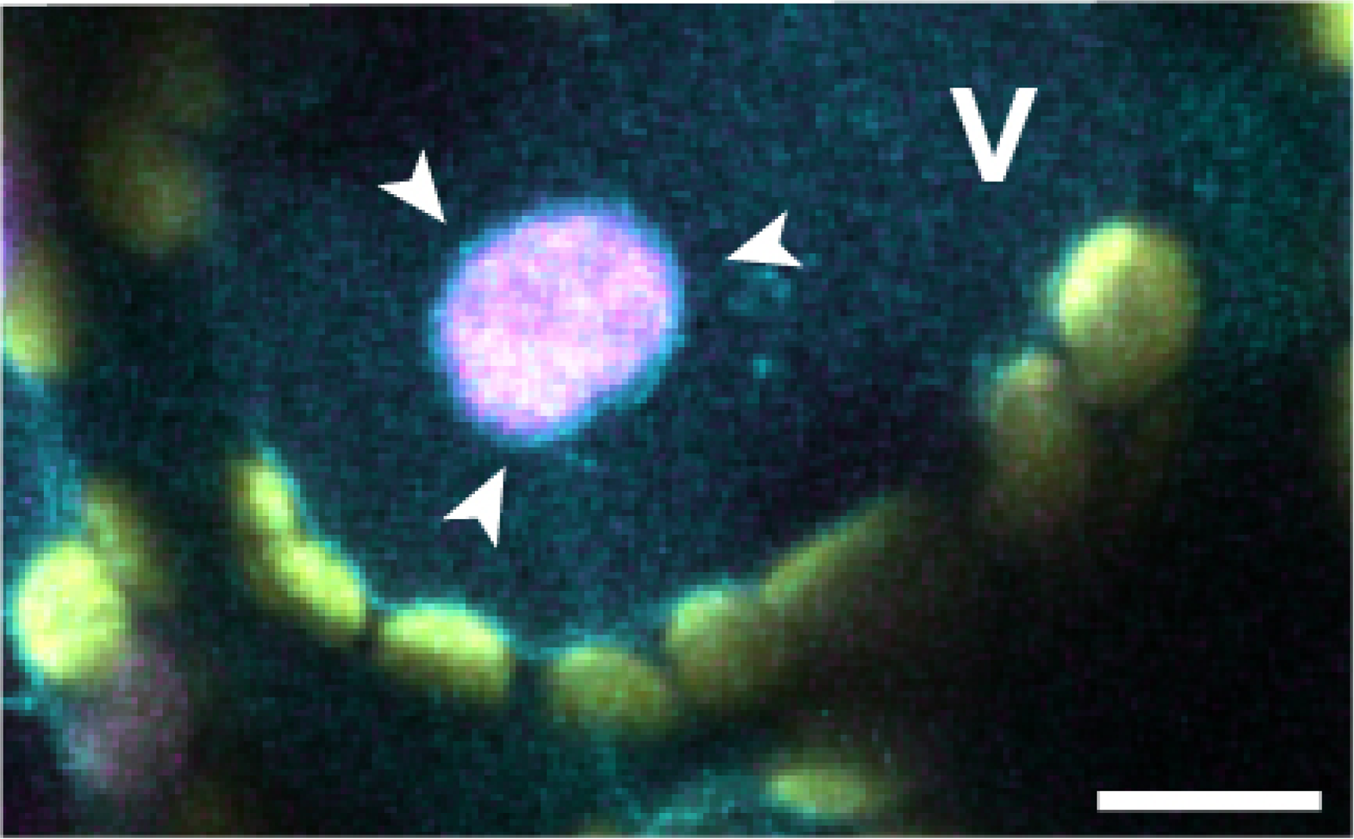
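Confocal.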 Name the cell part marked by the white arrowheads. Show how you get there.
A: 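Tonoplast. A cyan membrane rim encloses a round magenta body. The body sits within a large dark lumen bordered by a row of yellow chloroplasts.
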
